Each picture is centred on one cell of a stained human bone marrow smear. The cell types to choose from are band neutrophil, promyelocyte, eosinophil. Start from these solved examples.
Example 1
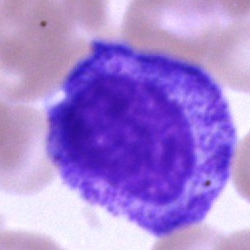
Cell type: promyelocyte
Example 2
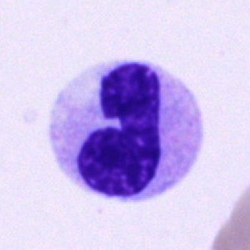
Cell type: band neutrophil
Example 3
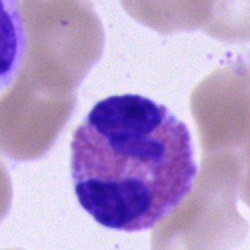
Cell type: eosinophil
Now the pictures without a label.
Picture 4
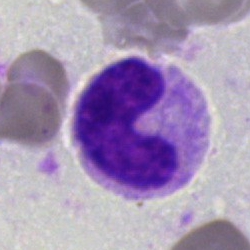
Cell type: band neutrophil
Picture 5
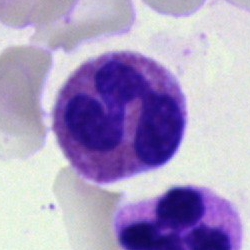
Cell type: eosinophil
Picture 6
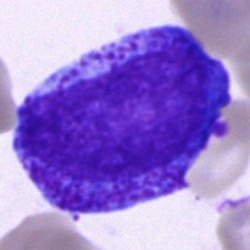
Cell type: promyelocyte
